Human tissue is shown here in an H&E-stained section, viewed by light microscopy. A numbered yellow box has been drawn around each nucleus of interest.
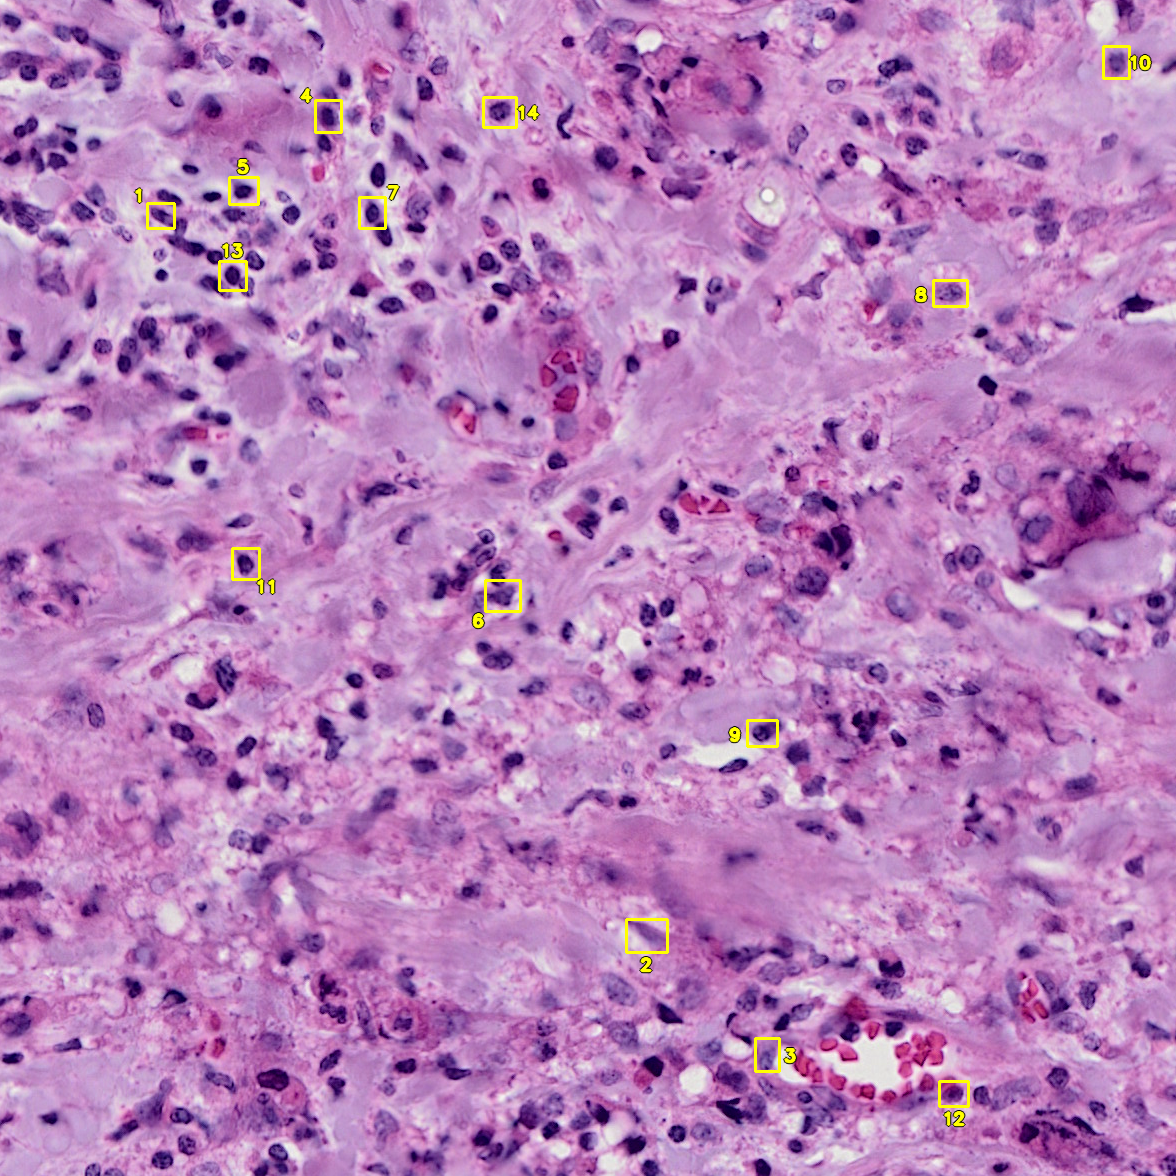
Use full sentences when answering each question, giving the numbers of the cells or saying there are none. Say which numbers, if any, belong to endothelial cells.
In short, the numbered cells 3 and 12 are endothelial cells.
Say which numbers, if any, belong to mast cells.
The cells bearing the numbers 8, 10 and 14 are mast cells.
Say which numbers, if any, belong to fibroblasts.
Of all the cells bearing numbers, cell 2 is the only one that is a fibroblast.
